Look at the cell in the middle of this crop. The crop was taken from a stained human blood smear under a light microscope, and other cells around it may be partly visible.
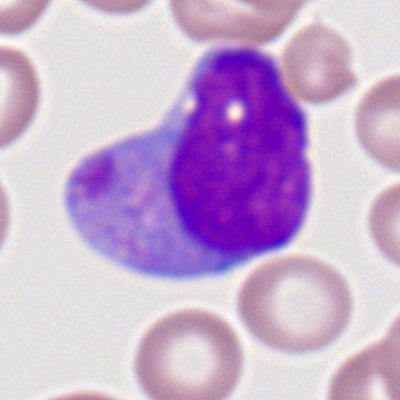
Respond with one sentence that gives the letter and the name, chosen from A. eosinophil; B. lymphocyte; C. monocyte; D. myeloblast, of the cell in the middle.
Option C holds up: the cell in the middle is a monocyte.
